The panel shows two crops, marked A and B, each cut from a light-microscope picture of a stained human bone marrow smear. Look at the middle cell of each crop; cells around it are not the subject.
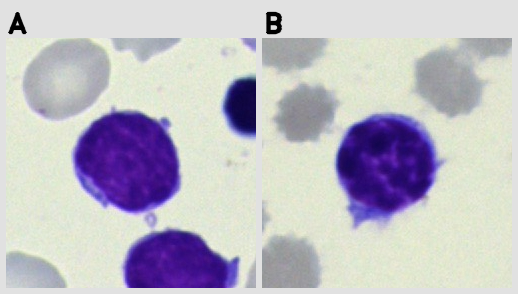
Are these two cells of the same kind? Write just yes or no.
yes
